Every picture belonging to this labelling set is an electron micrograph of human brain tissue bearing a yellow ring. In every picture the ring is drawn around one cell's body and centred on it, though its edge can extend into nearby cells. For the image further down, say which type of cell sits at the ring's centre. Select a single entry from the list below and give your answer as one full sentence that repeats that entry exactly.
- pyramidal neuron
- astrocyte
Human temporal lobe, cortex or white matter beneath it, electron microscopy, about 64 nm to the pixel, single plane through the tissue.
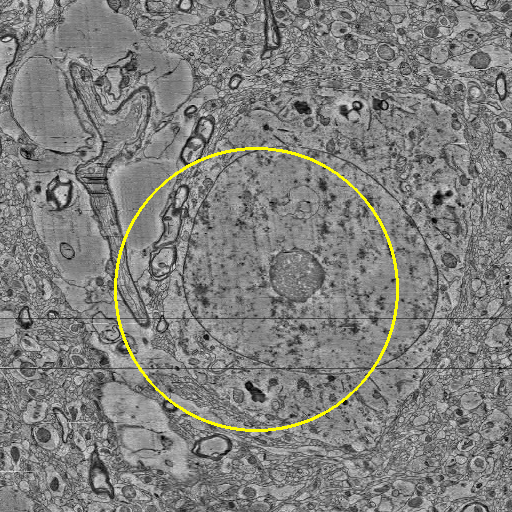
In the picture, a pyramidal neuron is the cell at the centre of the yellow ring.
